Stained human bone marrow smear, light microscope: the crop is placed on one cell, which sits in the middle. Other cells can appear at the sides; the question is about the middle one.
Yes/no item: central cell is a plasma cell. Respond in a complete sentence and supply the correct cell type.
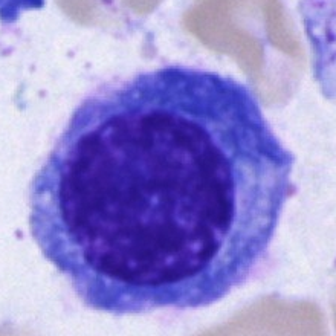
Yes, the cell positioned in the middle is a plasma cell.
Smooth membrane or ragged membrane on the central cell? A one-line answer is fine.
Its surface contour departs from smoothness through ragged edges or outward projections.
